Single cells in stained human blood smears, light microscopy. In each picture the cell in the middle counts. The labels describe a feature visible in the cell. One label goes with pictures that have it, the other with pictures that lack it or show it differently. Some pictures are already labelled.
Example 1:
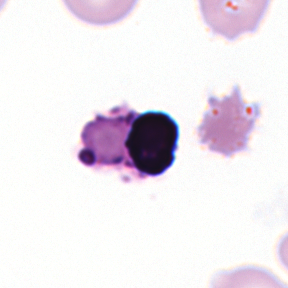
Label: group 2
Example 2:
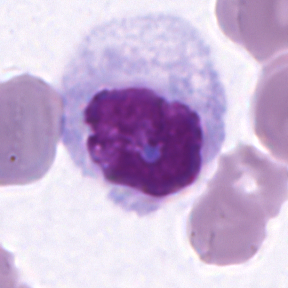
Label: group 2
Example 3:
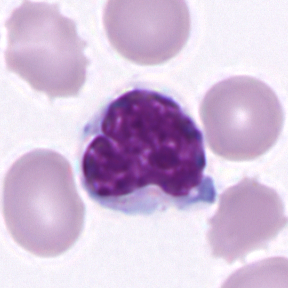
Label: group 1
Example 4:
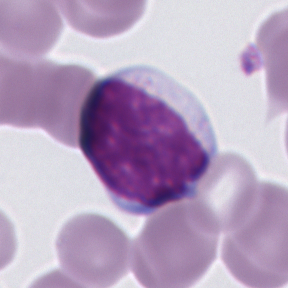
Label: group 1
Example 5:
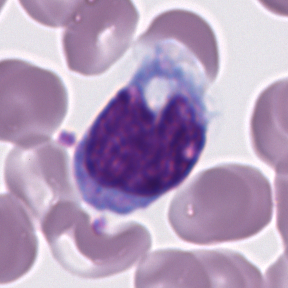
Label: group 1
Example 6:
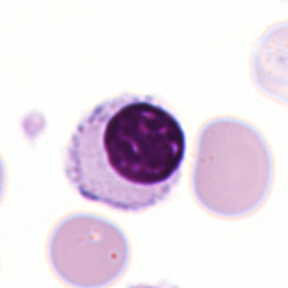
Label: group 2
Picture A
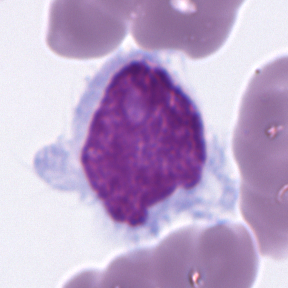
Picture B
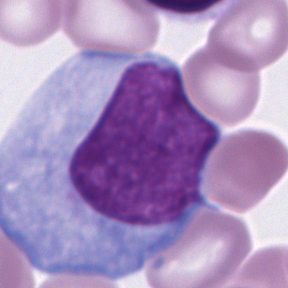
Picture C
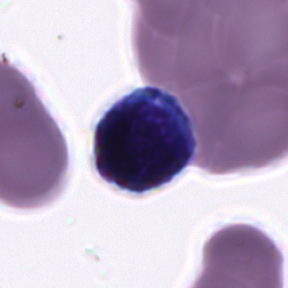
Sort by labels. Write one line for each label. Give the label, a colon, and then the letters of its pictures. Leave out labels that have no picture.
group 2: B
group 1: A, C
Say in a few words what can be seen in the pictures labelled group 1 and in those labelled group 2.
group 1: scant cytoplasm; group 2: abundant cytoplasm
